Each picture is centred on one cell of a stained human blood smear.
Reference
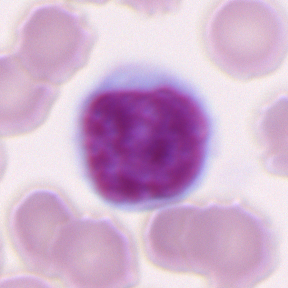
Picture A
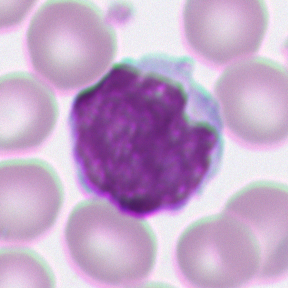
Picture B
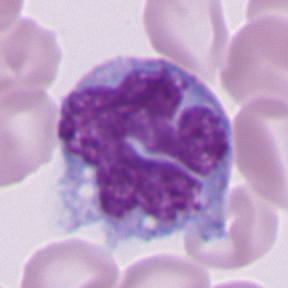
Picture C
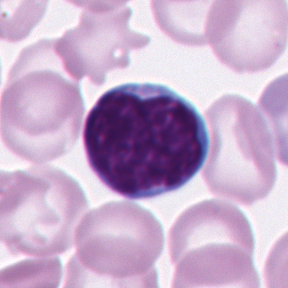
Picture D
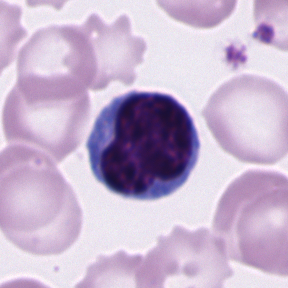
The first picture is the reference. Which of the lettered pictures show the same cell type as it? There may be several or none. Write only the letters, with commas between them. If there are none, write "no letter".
A, C, D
